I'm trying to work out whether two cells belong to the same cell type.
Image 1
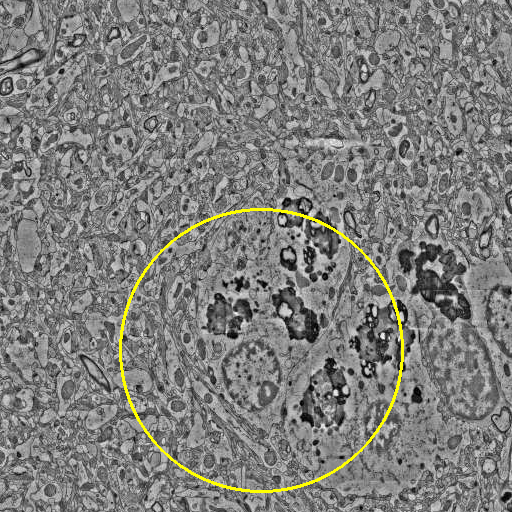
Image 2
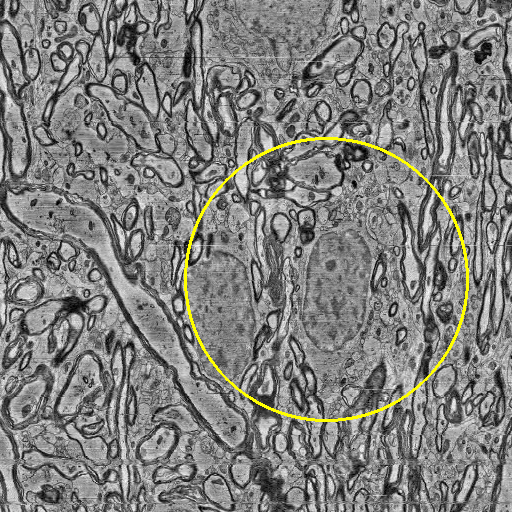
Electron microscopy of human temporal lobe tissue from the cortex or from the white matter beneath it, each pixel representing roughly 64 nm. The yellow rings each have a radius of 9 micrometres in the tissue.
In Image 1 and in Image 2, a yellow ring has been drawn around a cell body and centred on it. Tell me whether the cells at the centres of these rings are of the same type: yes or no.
no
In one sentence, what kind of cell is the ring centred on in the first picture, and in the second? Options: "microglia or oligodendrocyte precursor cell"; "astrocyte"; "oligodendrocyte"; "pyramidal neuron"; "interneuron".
The cell at the centre of the second ring is an oligodendrocyte; the first ring's cell is an astrocyte.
